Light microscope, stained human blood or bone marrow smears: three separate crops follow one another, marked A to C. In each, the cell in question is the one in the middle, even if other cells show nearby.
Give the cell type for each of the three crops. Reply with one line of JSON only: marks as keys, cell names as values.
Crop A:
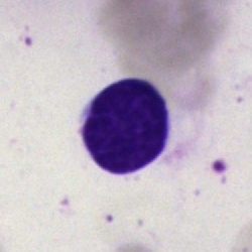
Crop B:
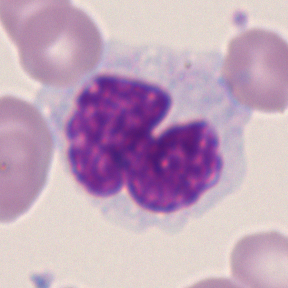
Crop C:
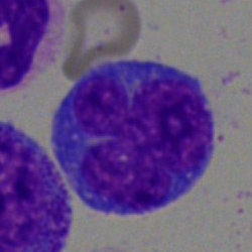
{"A": "lymphocyte", "B": "monocyte", "C": "blast"}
